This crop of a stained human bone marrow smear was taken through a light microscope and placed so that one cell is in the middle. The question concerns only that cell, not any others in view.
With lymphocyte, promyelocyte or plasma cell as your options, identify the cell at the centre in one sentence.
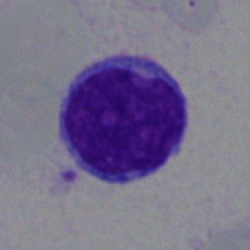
The cell at the central position in this crop is a lymphocyte.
